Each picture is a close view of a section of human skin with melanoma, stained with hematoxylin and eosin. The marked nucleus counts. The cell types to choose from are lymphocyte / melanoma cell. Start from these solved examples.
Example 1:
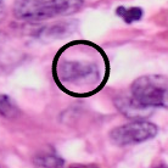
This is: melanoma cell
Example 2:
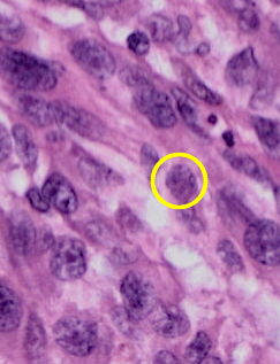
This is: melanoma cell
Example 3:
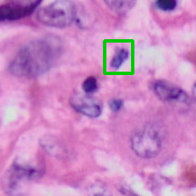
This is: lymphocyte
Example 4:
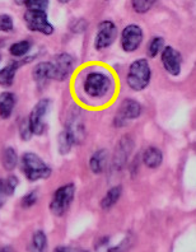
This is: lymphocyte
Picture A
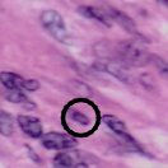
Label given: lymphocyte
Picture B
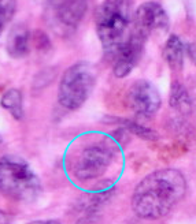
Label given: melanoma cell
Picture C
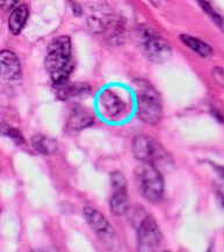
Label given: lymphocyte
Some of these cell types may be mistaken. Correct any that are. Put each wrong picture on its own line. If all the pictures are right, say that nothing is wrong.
C should be melanoma cell, not lymphocyte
